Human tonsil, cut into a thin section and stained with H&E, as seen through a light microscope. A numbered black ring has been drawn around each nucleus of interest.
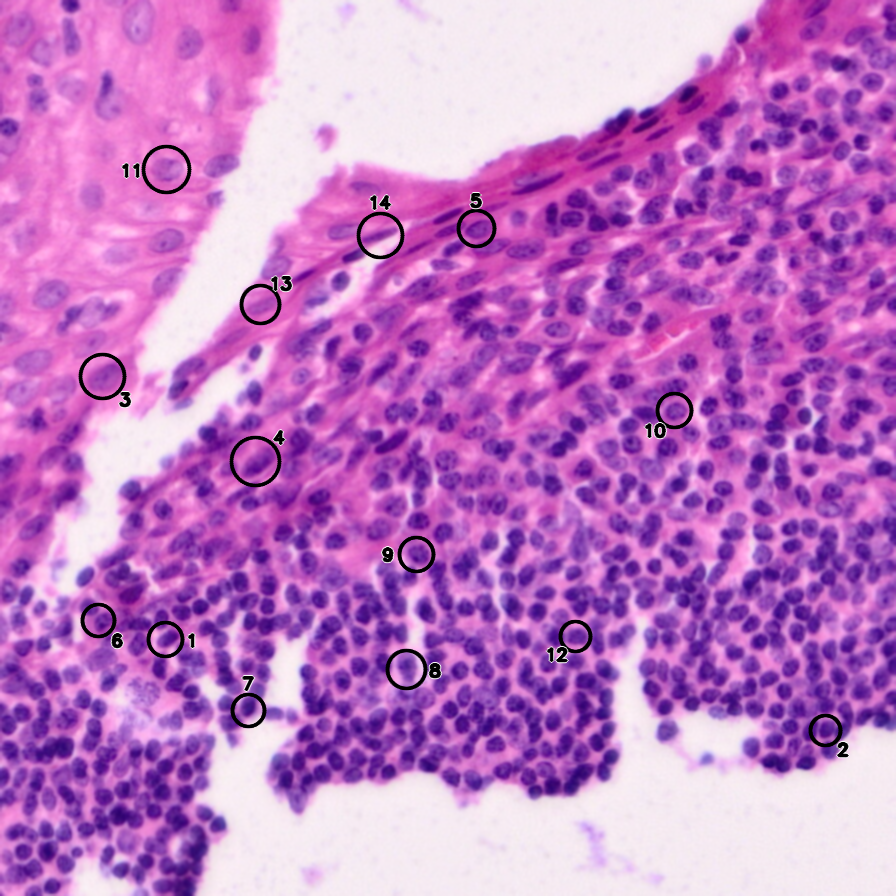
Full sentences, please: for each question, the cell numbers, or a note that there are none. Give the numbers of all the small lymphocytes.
Cells 1, 2, 7, 8 and 12 share one type; they are small lymphocytes.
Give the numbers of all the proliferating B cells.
None of the numbered cells are proliferating B cells.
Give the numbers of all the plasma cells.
Cells 6, 9 and 10 are plasma cells by cell type.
